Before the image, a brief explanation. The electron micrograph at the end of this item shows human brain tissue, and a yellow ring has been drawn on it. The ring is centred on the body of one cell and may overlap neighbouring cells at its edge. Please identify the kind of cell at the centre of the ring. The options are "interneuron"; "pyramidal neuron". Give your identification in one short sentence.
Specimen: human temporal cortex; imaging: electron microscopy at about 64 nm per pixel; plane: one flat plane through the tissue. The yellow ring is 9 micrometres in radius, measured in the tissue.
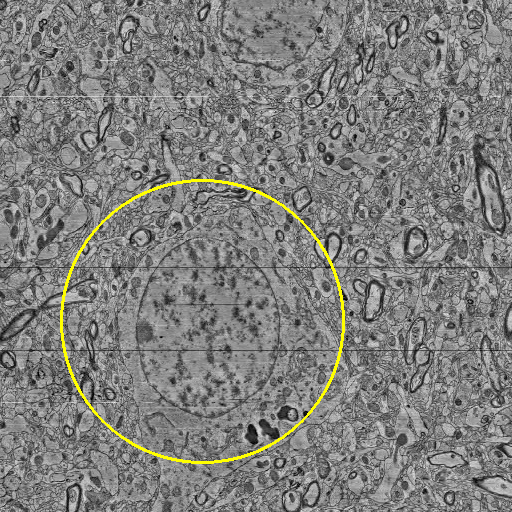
The ring has been placed around a pyramidal neuron.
